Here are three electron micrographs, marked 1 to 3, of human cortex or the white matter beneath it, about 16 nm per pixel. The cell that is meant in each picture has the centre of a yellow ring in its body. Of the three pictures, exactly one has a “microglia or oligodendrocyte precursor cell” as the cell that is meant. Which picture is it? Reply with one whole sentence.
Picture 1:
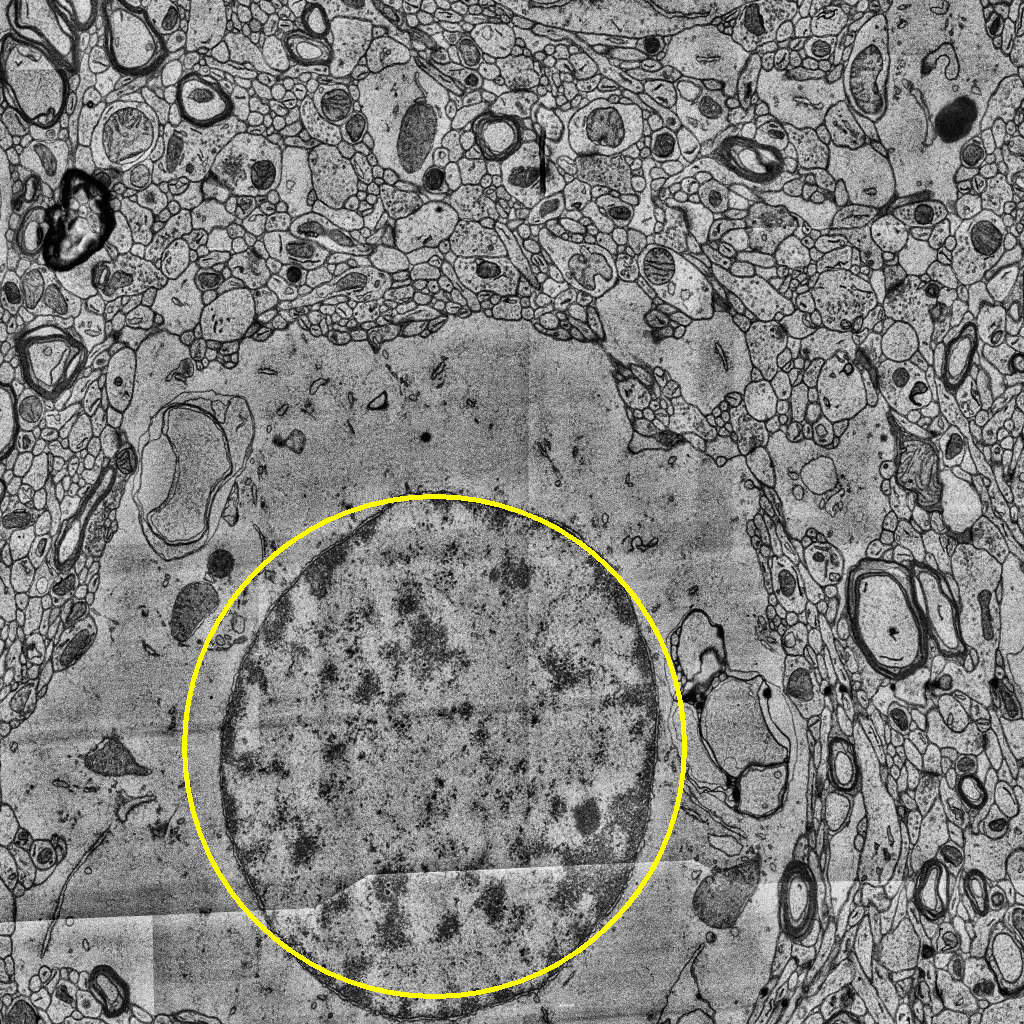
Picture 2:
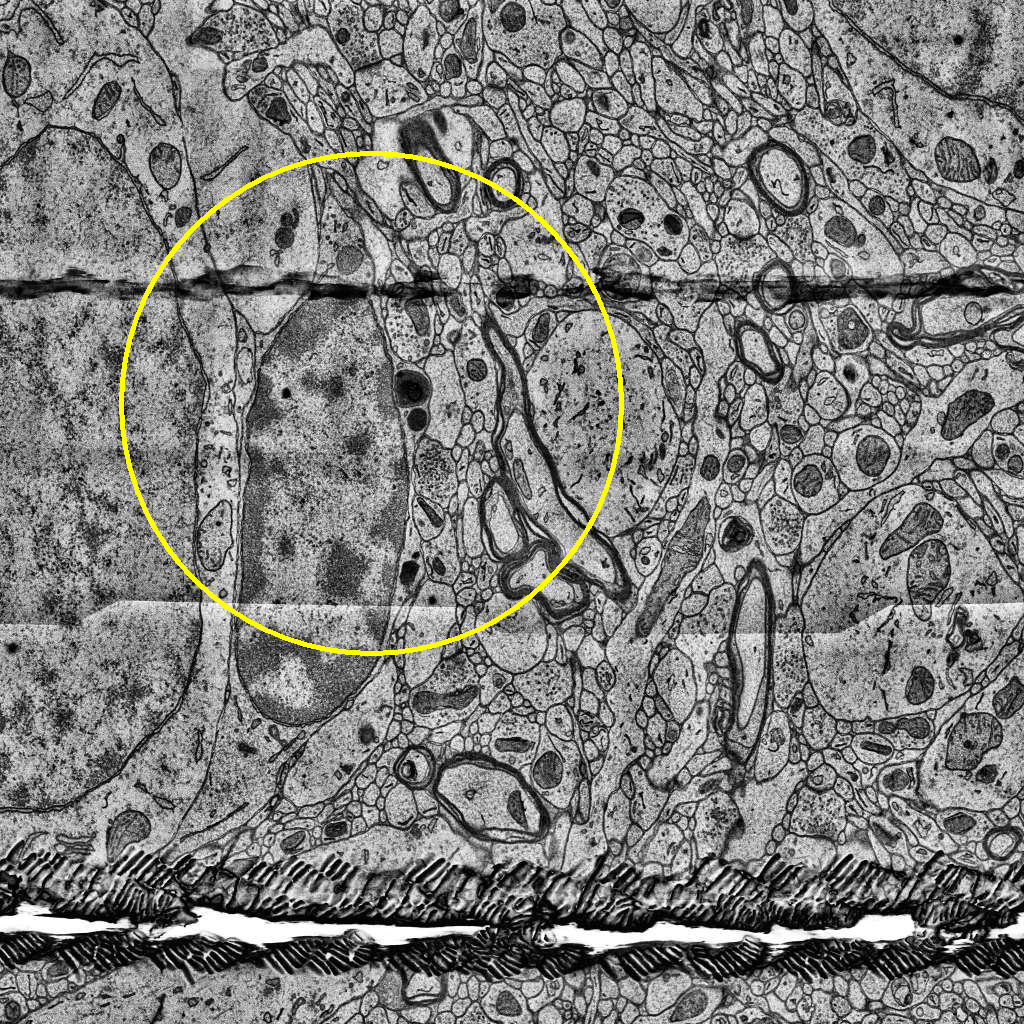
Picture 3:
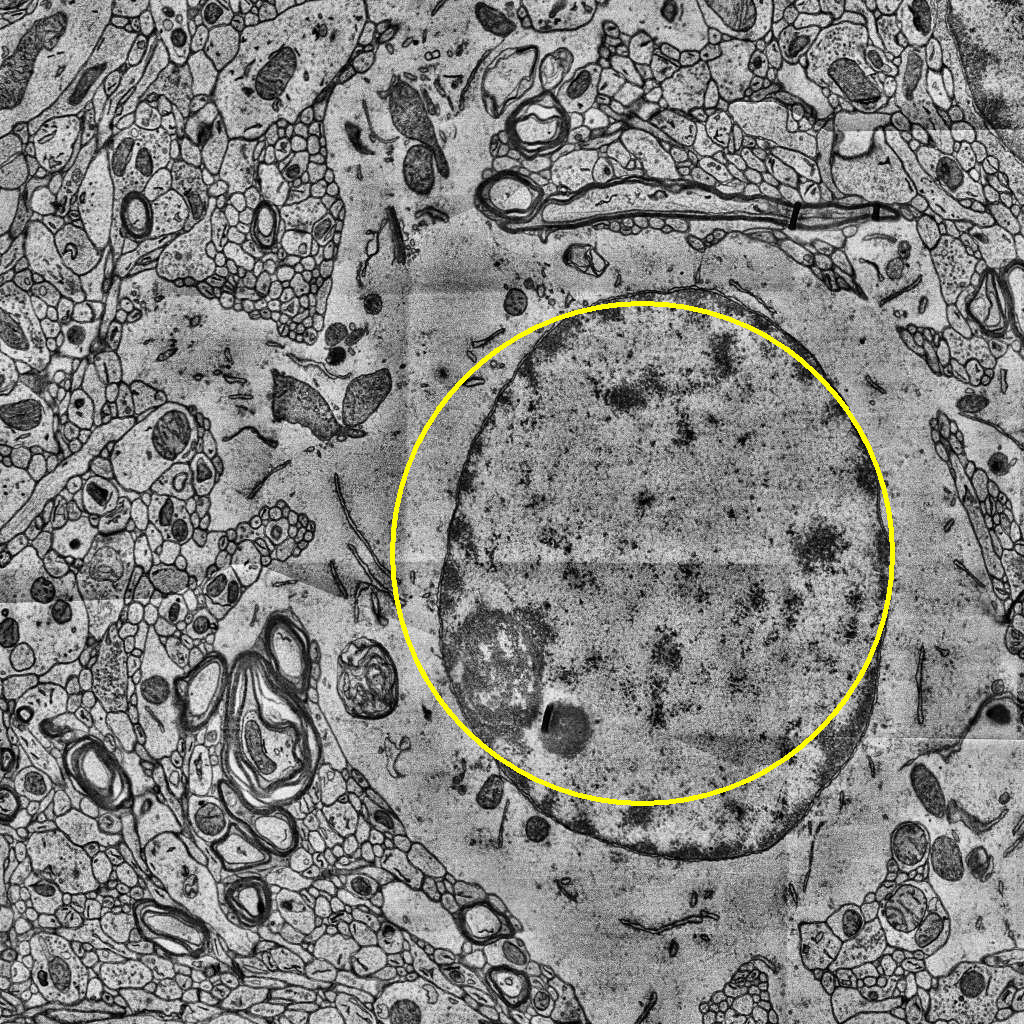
The “microglia or oligodendrocyte precursor cell” is the one in picture 2.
